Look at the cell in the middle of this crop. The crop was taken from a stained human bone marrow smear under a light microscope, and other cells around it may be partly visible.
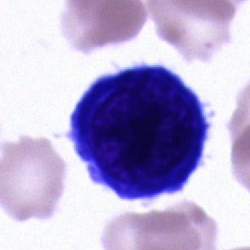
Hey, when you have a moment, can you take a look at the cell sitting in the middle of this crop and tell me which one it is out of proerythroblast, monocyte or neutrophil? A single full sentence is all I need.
As for the cell in the middle, it is a proerythroblast.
